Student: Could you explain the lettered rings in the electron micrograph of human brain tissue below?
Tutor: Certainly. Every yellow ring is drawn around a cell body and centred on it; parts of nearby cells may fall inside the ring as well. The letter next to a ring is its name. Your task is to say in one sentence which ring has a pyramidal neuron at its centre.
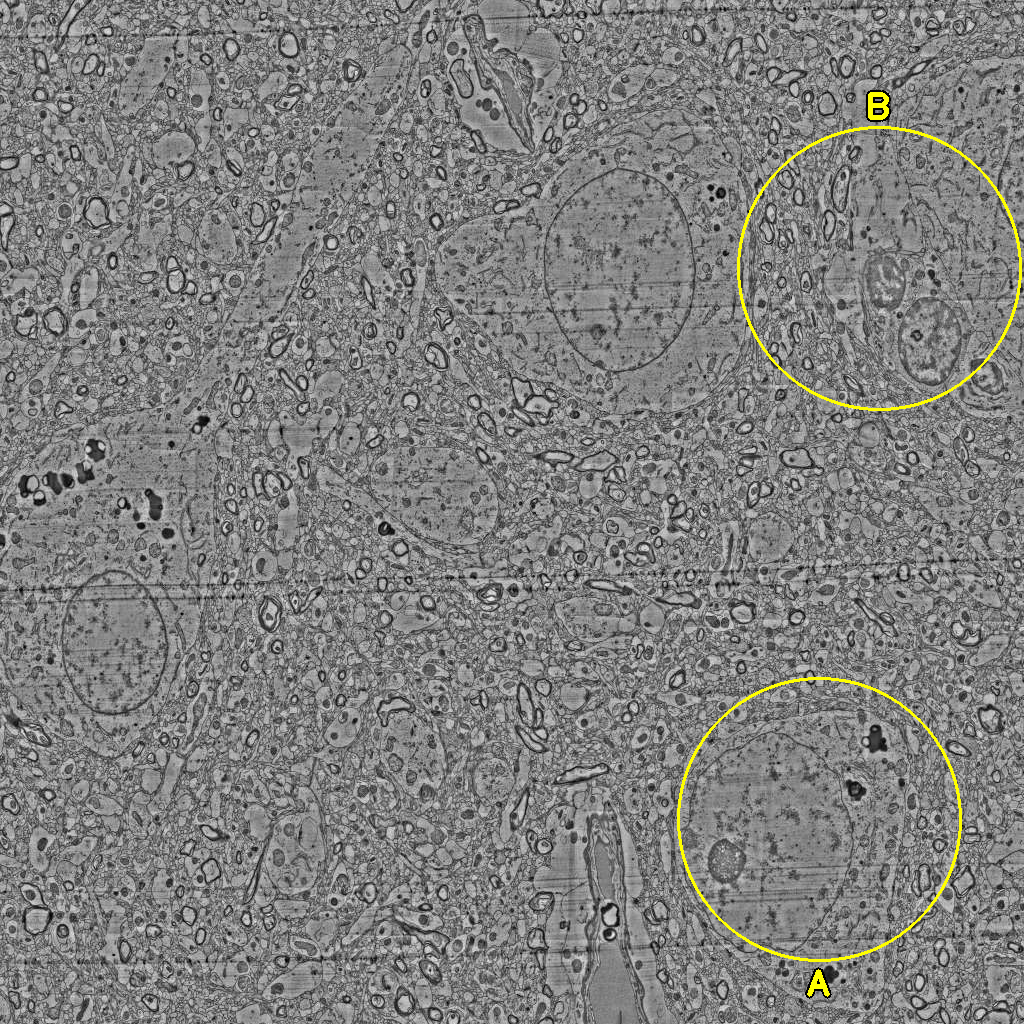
The cell at the centre of ring A is the one.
